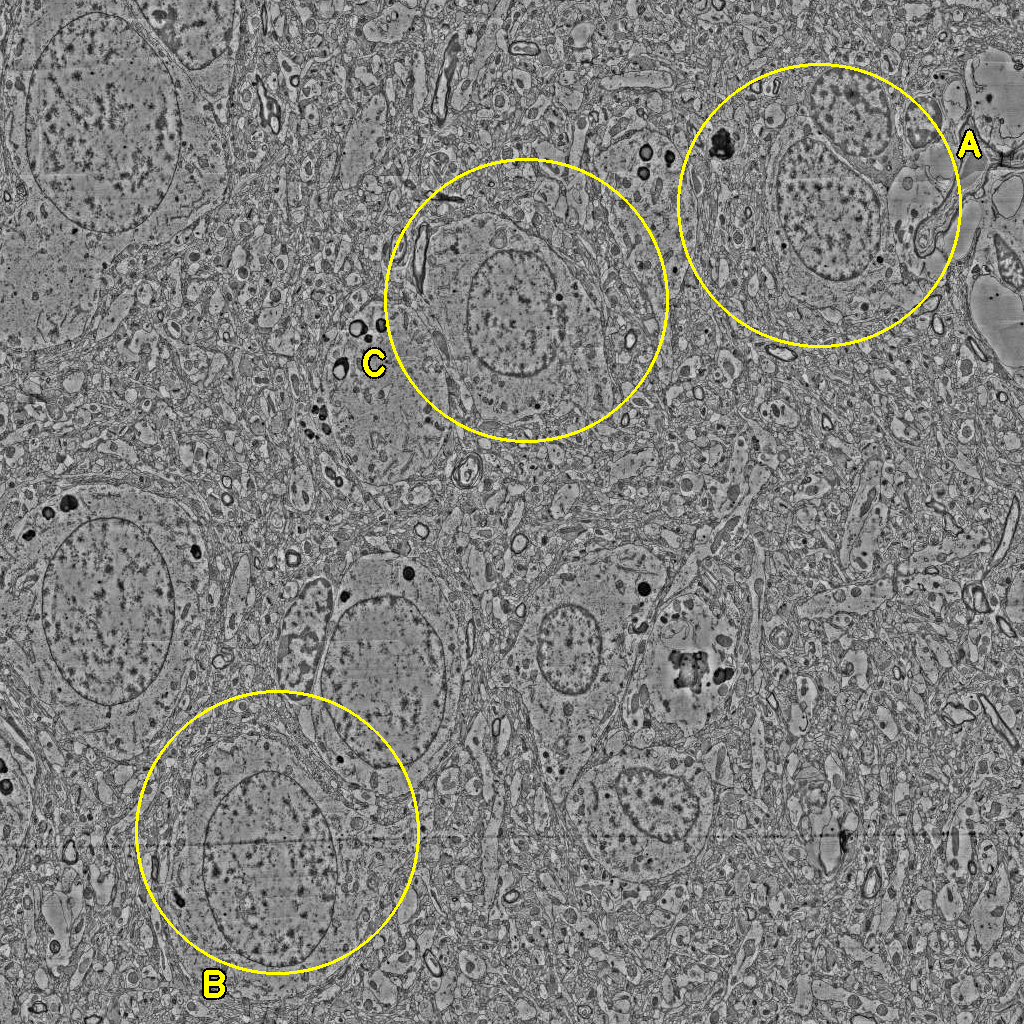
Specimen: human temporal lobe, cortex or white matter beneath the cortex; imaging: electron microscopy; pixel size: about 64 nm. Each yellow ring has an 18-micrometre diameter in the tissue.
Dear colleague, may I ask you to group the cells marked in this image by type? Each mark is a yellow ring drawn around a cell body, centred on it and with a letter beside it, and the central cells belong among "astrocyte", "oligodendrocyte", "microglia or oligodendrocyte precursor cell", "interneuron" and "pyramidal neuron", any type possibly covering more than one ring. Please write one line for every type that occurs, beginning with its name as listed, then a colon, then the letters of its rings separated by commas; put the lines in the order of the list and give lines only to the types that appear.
interneuron: A
pyramidal neuron: B, C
